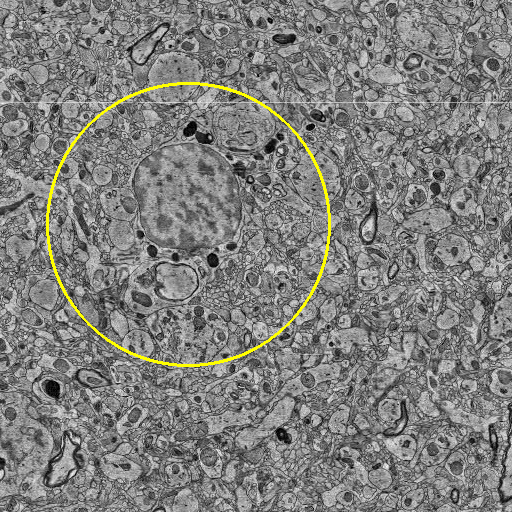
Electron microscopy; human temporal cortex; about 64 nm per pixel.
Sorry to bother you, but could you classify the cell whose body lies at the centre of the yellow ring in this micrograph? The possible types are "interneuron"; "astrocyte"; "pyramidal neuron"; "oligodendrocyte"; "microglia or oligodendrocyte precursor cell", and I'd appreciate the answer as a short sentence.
The ringed cell body is that of a microglial cell or oligodendrocyte precursor cell.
